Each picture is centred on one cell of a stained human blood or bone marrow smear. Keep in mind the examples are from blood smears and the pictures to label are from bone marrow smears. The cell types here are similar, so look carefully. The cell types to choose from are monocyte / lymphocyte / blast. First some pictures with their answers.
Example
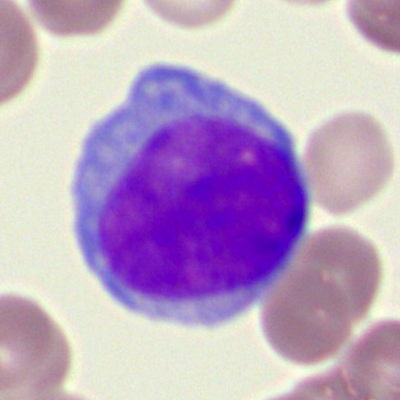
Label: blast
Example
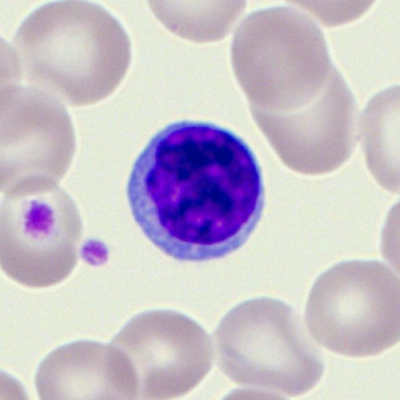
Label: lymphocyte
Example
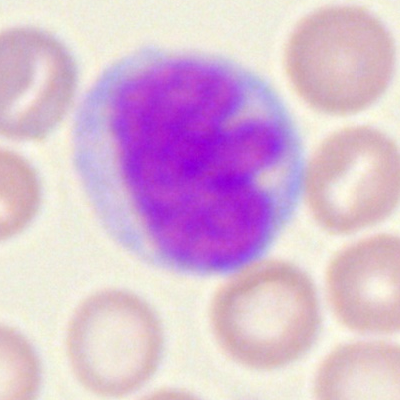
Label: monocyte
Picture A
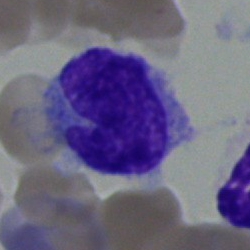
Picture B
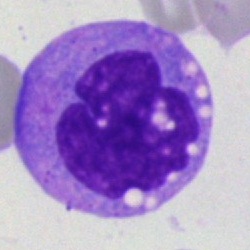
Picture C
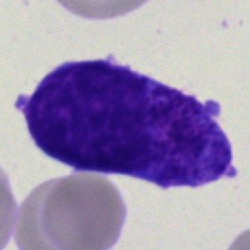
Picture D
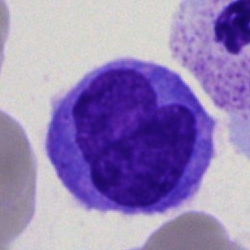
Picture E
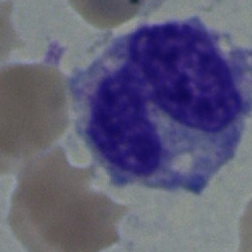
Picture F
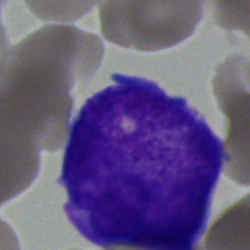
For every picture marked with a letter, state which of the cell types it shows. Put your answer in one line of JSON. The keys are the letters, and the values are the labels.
{"A": "monocyte", "B": "monocyte", "C": "blast", "D": "monocyte", "E": "monocyte", "F": "blast"}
